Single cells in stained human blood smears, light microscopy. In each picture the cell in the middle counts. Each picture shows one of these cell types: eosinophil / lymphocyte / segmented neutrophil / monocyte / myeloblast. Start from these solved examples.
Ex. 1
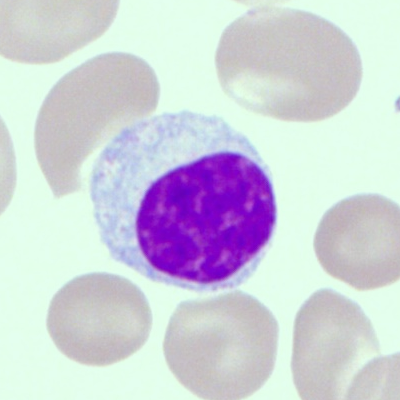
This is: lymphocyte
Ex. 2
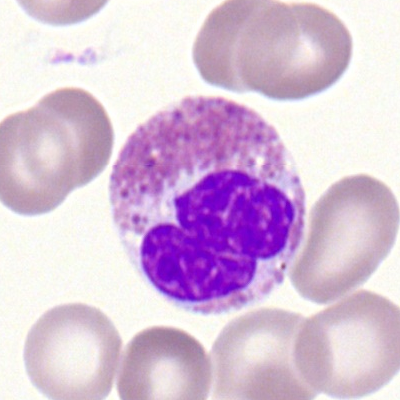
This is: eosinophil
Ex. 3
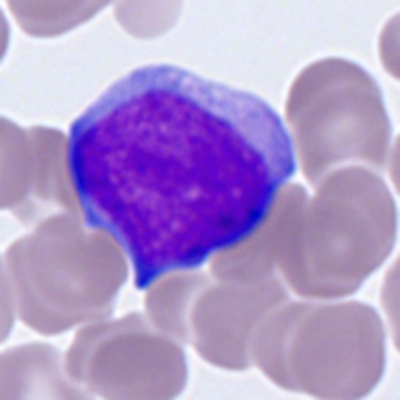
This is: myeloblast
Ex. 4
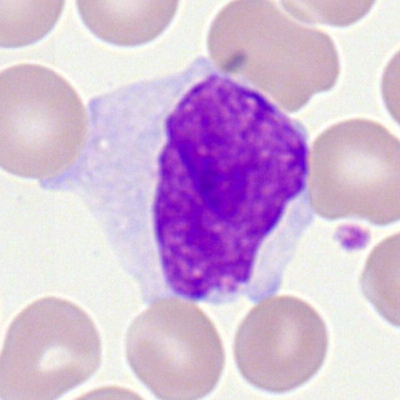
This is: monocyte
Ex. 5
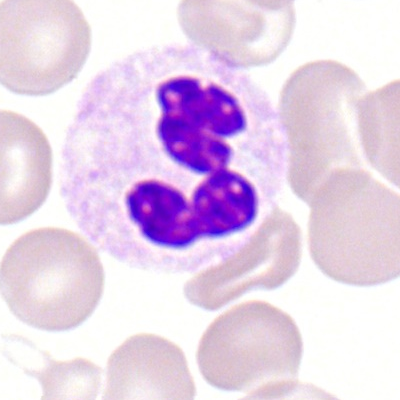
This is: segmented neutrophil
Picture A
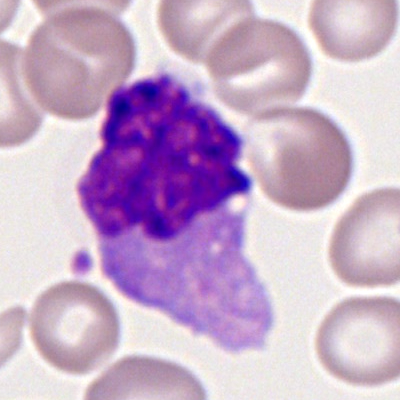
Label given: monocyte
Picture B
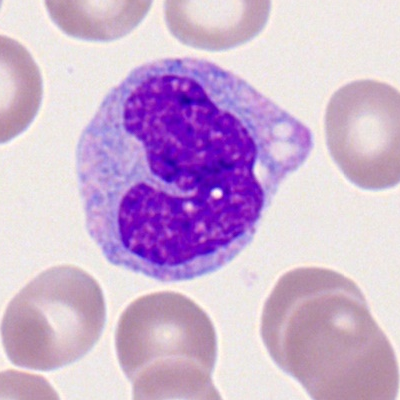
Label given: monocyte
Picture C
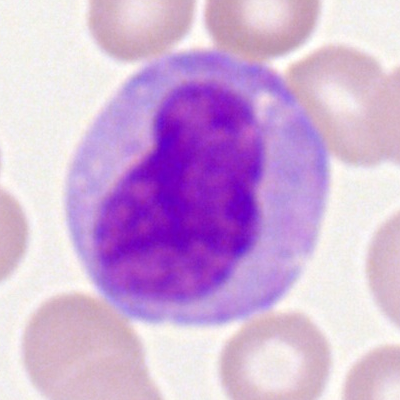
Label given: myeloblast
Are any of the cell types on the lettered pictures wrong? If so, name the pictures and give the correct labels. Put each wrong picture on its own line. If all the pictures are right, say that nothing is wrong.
C: monocyte, not myeloblast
